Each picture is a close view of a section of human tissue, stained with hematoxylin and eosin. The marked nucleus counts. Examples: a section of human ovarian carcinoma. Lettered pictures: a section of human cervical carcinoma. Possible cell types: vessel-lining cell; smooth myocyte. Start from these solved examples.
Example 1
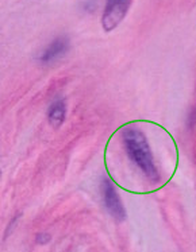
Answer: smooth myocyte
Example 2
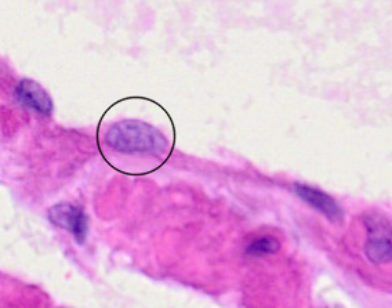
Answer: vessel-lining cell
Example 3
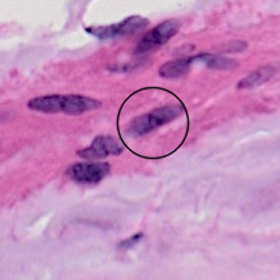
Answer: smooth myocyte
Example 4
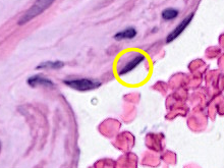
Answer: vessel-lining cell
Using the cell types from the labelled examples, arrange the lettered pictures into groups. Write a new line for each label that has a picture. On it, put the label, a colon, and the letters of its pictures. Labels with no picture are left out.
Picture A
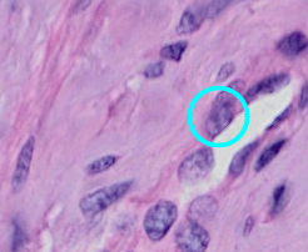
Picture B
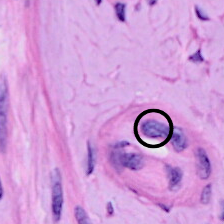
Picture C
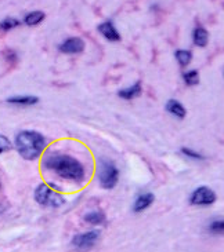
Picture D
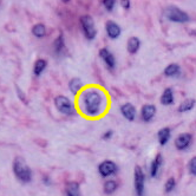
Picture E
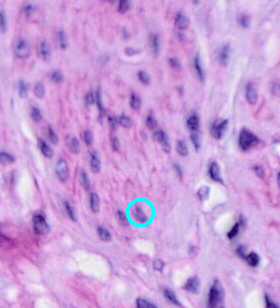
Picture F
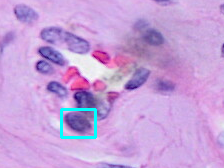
vessel-lining cell: A, B, C, F
smooth myocyte: D, E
